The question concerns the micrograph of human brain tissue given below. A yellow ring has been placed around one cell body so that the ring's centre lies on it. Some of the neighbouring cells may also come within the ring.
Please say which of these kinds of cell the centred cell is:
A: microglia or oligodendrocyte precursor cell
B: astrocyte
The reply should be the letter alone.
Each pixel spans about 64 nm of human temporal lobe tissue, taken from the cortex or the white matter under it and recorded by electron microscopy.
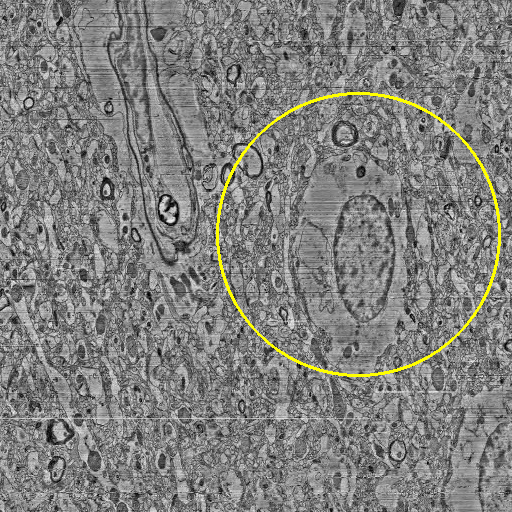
B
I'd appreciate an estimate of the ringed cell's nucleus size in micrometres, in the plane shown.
In this plane, about 8 by 4 micrometres: the nucleus is clearly longer than it is wide.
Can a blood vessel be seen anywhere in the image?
Yes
